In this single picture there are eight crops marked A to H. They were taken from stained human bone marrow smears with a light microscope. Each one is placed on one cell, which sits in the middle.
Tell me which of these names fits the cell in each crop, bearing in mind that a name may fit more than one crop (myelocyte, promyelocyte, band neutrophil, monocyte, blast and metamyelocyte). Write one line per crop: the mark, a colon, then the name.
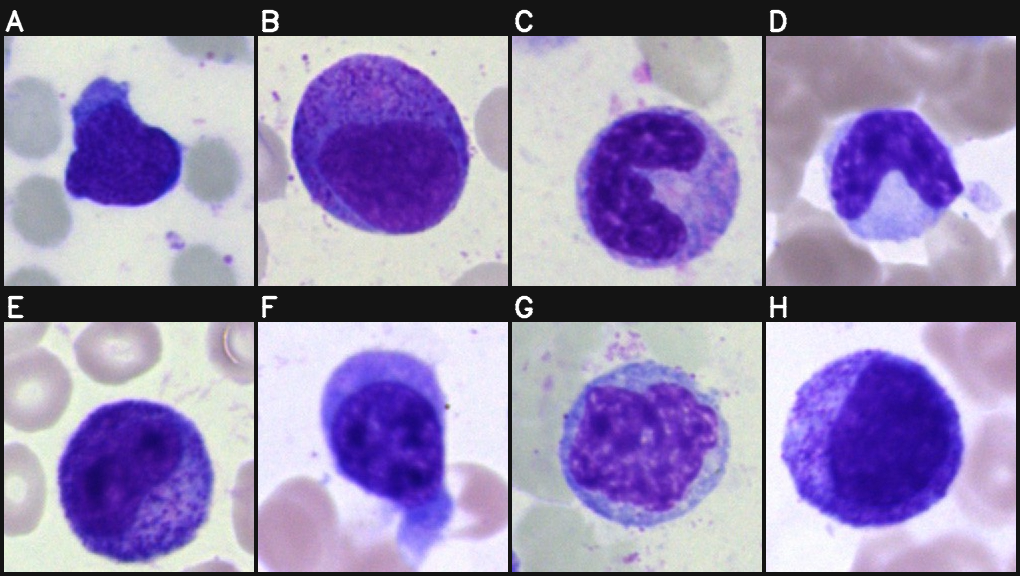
A: blast
B: promyelocyte
C: monocyte
D: band neutrophil
E: promyelocyte
F: promyelocyte
G: monocyte
H: promyelocyte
